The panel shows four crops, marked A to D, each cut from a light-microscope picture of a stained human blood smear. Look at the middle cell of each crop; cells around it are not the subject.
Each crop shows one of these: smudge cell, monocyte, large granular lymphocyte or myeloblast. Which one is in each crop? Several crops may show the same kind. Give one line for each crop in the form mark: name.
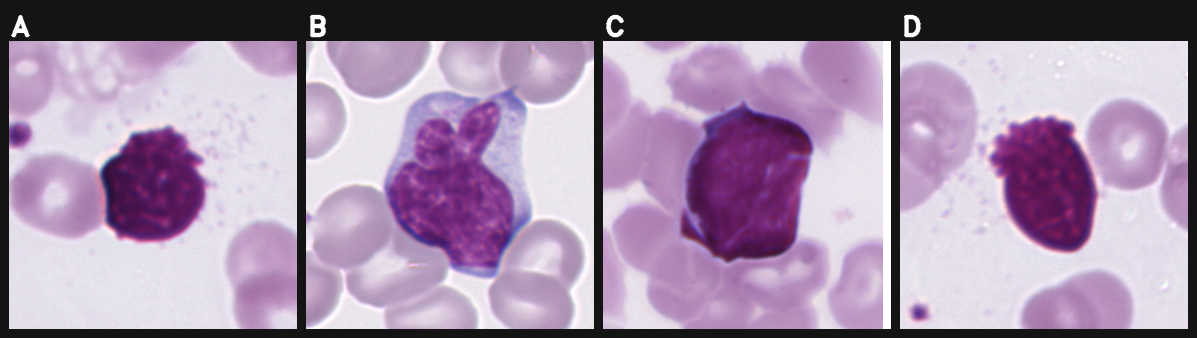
A: smudge cell
B: myeloblast
C: myeloblast
D: smudge cell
